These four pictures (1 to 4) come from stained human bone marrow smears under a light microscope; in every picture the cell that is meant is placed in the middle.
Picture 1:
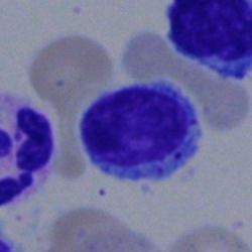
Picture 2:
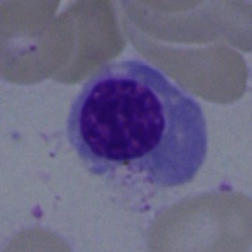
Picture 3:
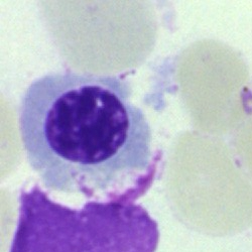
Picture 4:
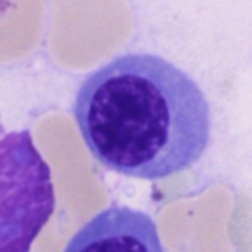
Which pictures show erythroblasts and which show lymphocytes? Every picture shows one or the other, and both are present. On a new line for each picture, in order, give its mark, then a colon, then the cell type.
1: lymphocyte
2: erythroblast
3: erythroblast
4: erythroblast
